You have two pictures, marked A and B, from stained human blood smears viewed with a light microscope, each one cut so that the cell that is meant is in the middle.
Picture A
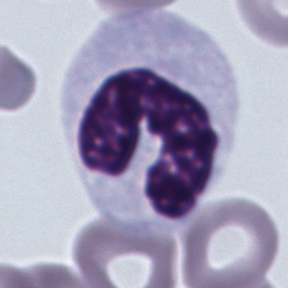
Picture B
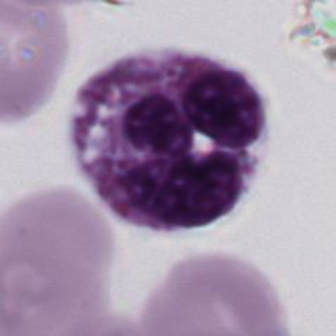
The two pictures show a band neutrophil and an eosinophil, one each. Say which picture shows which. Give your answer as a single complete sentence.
The cell in picture A is a band neutrophil, and the one in picture B is an eosinophil.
